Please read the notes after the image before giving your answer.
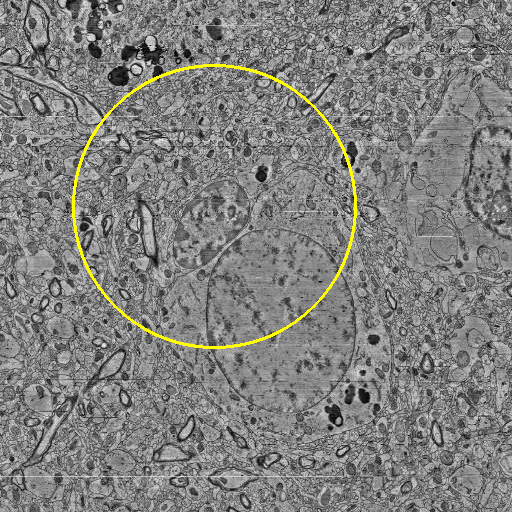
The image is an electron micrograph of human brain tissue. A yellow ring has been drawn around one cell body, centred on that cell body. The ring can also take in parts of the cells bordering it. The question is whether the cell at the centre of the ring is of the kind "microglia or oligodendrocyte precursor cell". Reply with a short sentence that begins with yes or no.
Yes, the cell at the centre is of that kind.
